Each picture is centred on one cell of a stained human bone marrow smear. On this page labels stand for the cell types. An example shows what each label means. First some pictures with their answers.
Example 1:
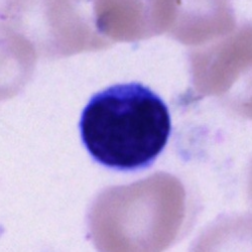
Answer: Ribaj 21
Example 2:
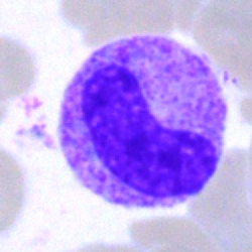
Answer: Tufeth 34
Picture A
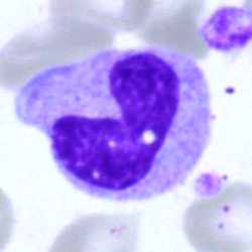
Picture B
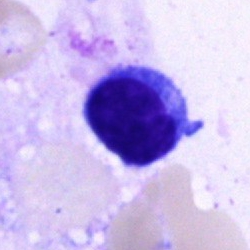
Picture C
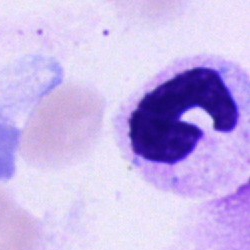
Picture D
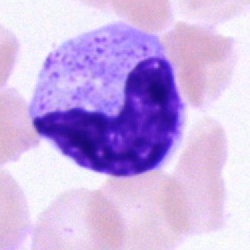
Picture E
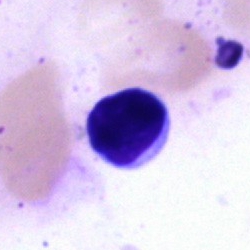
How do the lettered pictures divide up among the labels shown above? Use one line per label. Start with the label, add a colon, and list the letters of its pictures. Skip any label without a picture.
Ribaj 21: B, E
Tufeth 34: A, C, D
